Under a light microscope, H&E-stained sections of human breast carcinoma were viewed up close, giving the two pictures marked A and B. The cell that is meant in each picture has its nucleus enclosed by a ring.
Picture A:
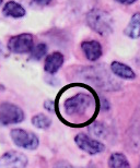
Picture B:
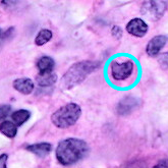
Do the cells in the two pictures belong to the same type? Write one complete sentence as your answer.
Yes; the cells in both pictures are lymphocytes.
